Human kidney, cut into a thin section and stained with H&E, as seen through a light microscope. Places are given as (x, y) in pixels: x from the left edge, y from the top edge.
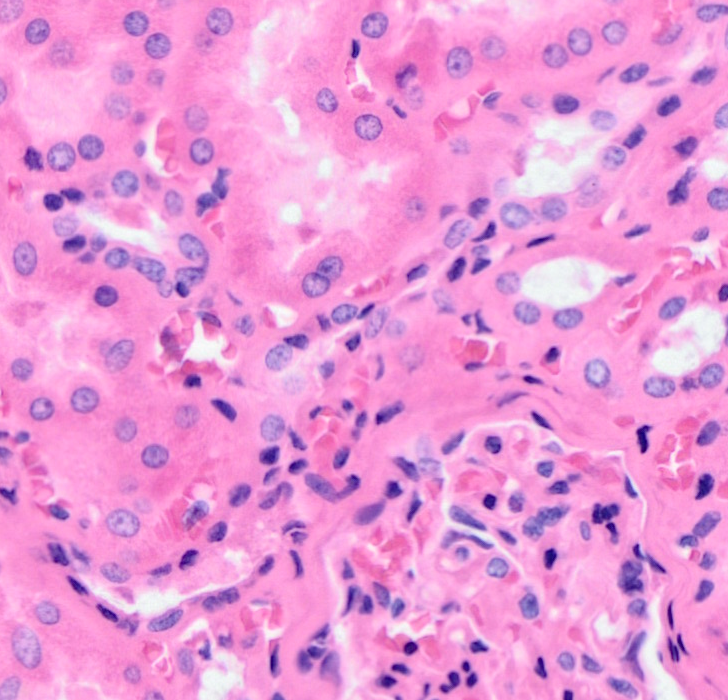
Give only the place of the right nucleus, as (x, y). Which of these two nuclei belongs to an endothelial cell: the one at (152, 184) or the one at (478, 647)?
(478, 647)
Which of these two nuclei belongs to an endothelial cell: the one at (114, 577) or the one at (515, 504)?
(515, 504)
